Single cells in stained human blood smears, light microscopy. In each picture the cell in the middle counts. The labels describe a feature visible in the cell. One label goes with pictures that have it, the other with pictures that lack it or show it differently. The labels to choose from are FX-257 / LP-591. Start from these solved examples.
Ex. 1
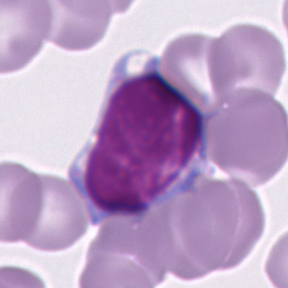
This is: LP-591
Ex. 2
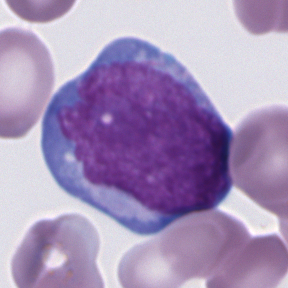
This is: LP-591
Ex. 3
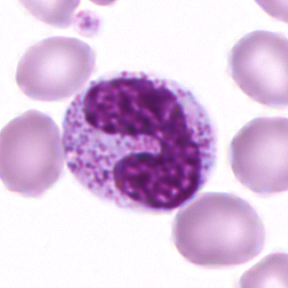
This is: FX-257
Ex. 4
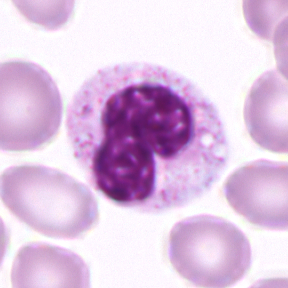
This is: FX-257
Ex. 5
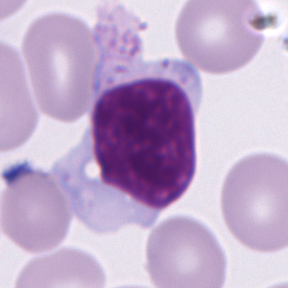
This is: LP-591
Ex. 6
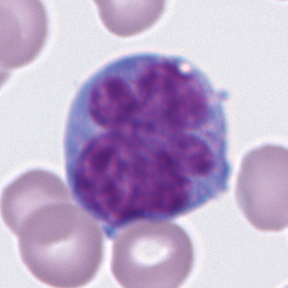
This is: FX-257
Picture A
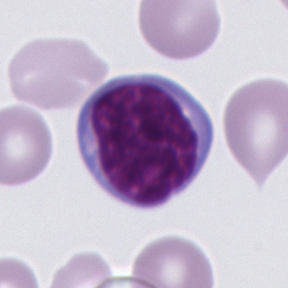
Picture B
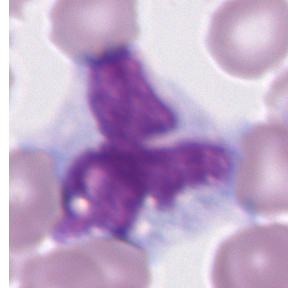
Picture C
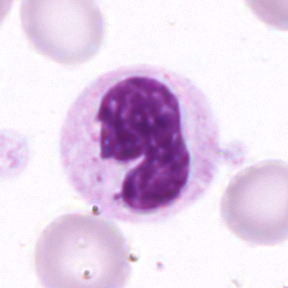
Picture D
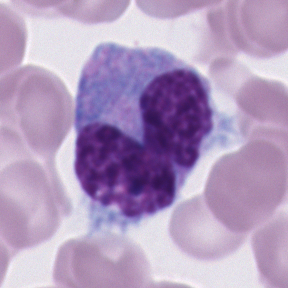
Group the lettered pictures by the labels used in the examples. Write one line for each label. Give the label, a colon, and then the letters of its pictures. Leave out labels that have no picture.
FX-257: B, D
LP-591: A, C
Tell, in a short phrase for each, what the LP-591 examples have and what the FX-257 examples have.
LP-591, single compact nucleus; FX-257, lobed nucleus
